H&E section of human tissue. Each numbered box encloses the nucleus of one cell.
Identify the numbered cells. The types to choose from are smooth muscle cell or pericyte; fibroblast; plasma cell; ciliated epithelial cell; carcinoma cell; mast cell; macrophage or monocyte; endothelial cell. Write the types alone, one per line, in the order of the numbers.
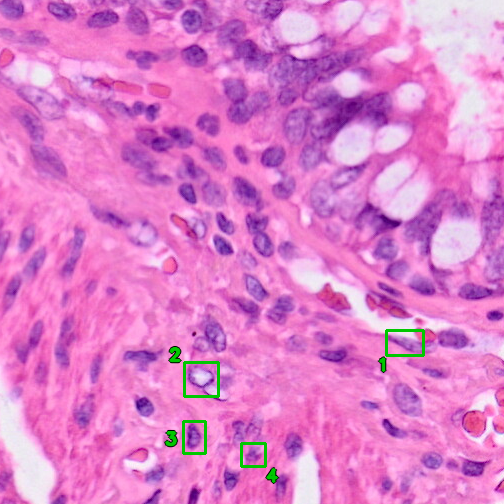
endothelial cell
endothelial cell
mast cell
smooth muscle cell or pericyte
